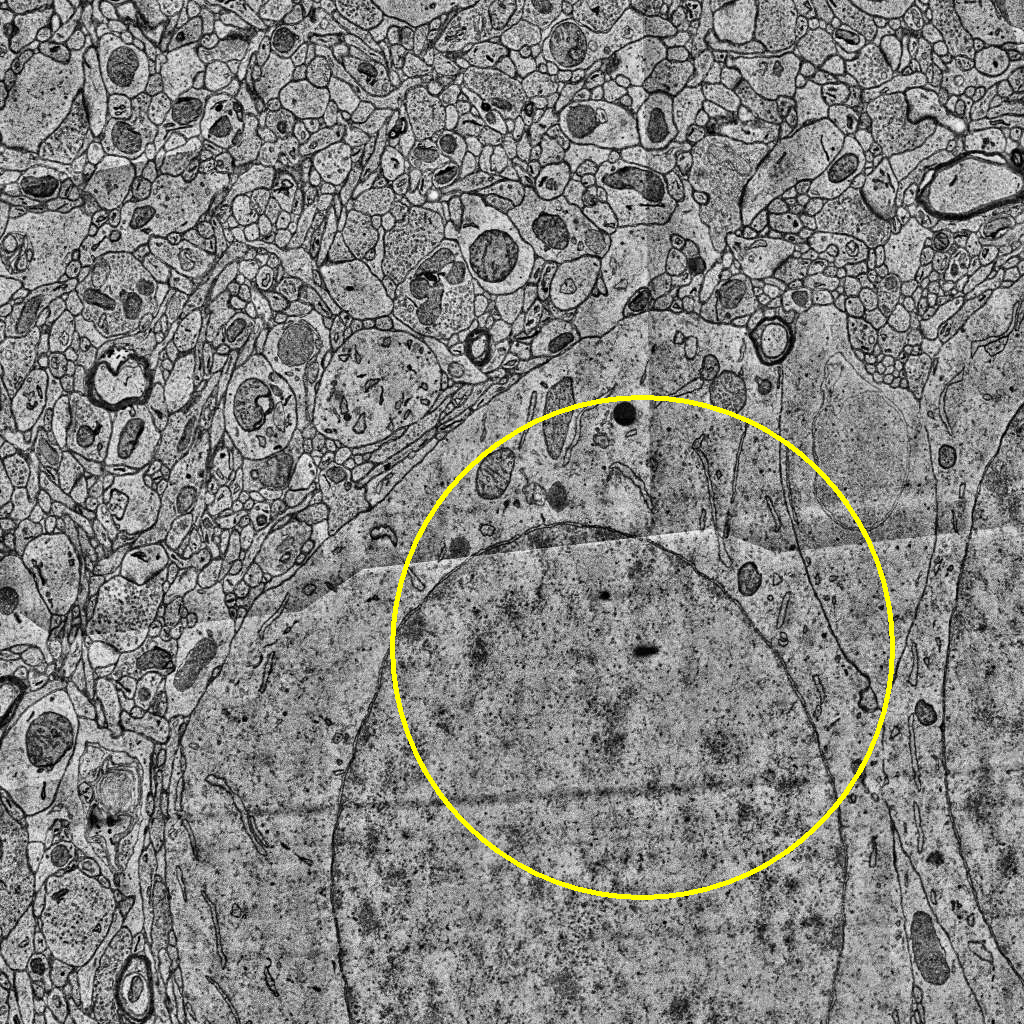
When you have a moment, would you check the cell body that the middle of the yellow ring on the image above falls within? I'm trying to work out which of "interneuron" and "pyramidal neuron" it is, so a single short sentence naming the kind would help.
This cell body belongs to a pyramidal neuron.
